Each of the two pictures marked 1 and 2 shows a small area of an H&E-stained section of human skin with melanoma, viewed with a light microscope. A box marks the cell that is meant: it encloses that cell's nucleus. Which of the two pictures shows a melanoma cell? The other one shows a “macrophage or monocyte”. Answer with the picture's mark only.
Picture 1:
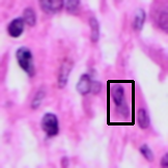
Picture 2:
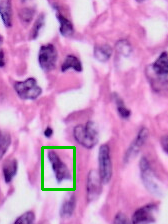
2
